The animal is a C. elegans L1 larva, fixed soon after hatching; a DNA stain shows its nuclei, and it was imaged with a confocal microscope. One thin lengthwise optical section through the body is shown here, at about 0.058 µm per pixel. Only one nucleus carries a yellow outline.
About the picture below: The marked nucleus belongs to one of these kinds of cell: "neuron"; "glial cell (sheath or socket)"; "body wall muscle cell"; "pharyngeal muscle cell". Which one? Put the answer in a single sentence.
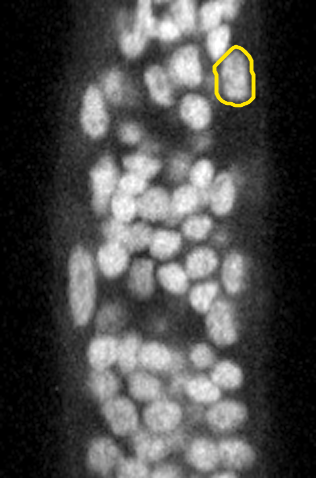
It belongs to a body wall muscle cell.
